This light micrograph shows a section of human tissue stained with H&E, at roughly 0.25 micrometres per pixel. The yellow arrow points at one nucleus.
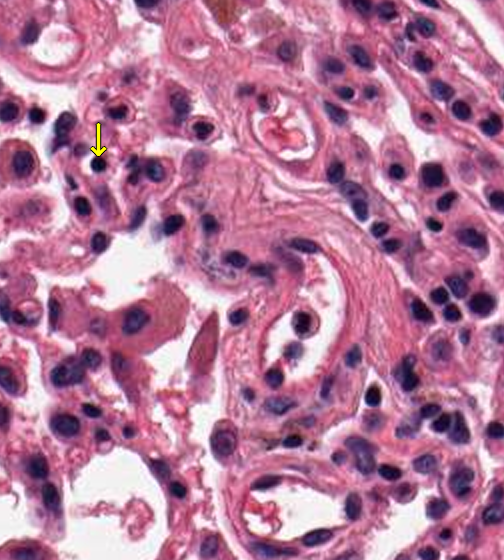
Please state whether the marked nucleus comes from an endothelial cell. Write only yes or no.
no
